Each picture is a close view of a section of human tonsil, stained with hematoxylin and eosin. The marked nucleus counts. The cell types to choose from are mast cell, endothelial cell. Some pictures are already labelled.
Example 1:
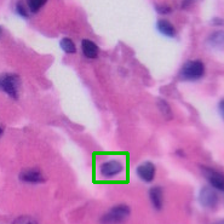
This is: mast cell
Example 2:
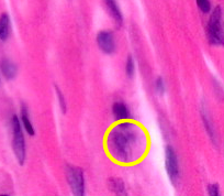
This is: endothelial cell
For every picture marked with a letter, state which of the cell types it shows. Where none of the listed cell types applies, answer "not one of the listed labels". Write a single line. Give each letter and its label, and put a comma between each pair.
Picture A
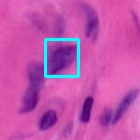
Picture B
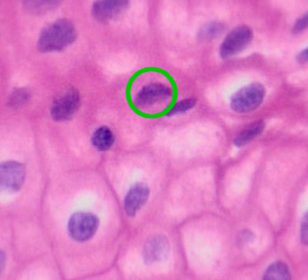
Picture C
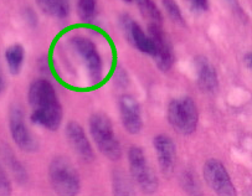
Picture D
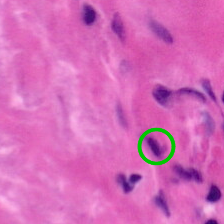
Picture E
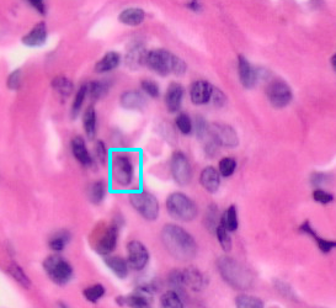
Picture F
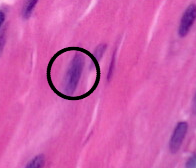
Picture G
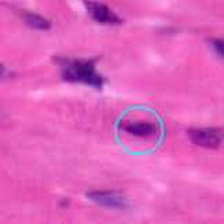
A endothelial cell, B not one of the listed labels, C not one of the listed labels, D mast cell, E endothelial cell, F endothelial cell, G mast cell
